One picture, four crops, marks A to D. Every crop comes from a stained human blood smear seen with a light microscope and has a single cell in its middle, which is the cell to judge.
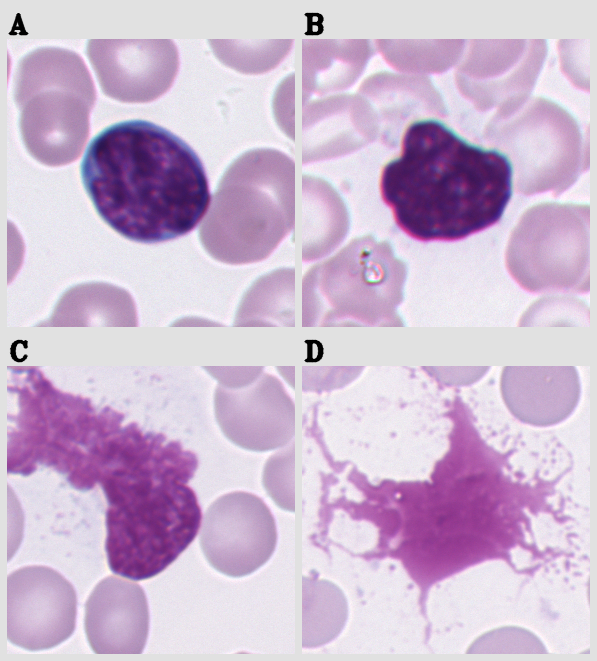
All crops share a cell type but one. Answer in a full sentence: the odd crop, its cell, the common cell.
In contrast to the other crops, all of which show smudge cells, crop A shows a typical lymphocyte.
